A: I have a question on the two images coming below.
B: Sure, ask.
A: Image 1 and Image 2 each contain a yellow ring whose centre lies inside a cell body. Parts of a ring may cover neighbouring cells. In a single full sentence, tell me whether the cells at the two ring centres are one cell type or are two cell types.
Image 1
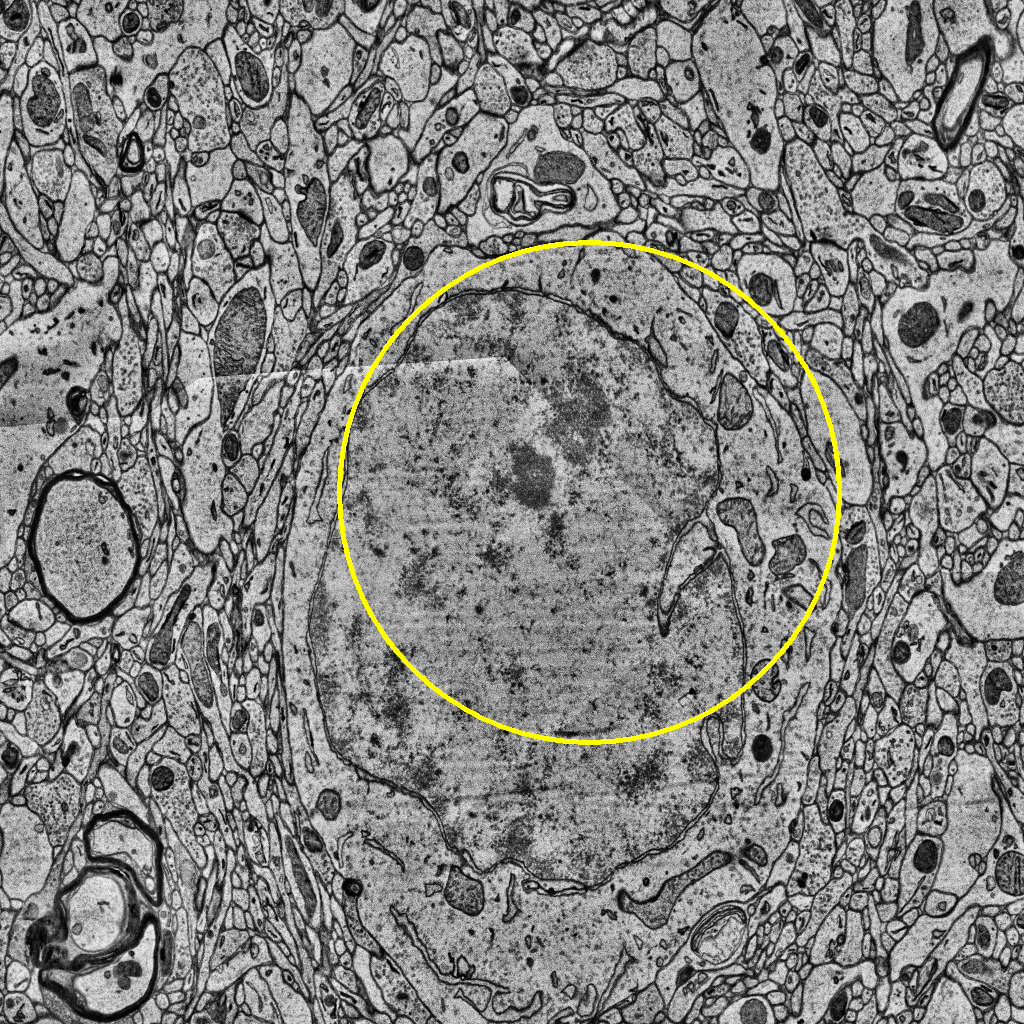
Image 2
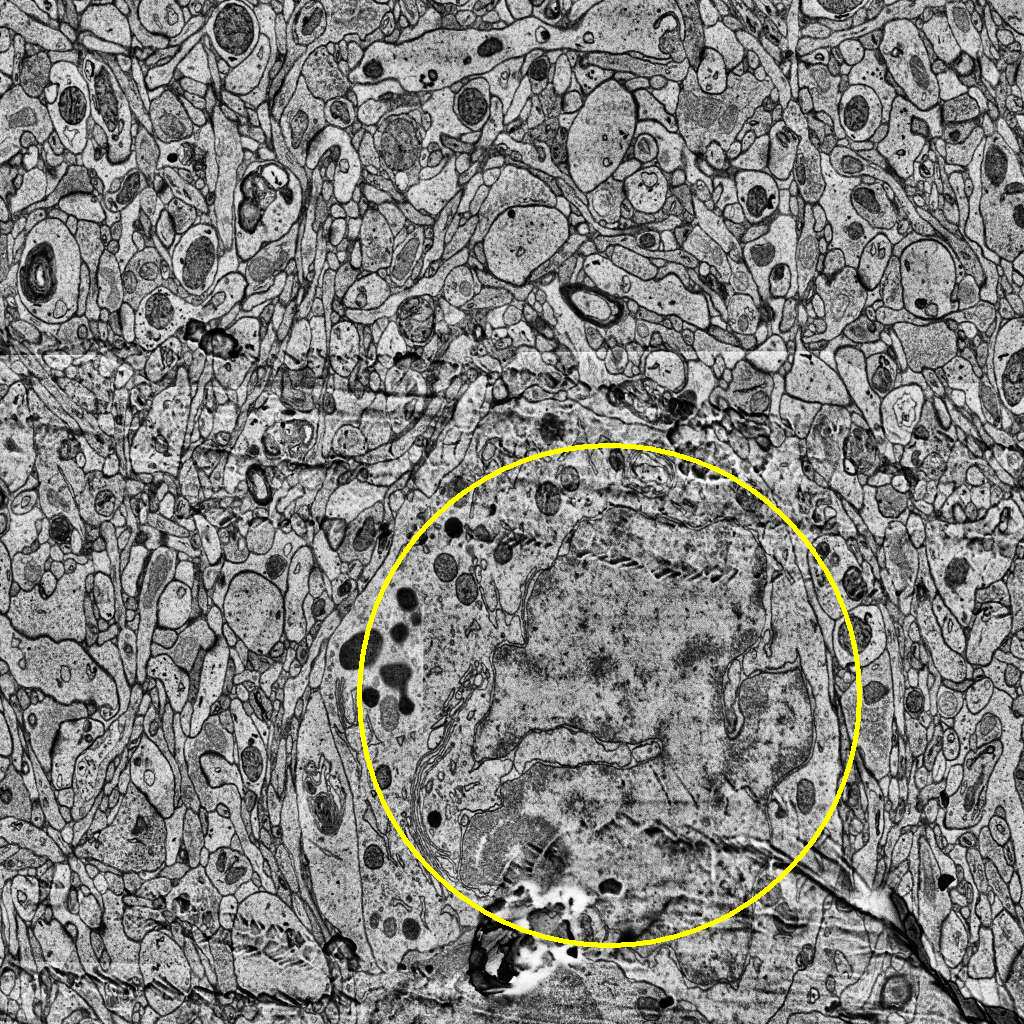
As for the ring-centre cells, the one in Image 1 and the one in Image 2 are one cell type.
